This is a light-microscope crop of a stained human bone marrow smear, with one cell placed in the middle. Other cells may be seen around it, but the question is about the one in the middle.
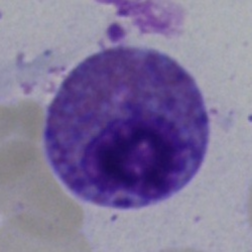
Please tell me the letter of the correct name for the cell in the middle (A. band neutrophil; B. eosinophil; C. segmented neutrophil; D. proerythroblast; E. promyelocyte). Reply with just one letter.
B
